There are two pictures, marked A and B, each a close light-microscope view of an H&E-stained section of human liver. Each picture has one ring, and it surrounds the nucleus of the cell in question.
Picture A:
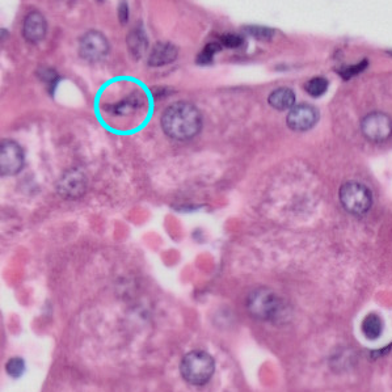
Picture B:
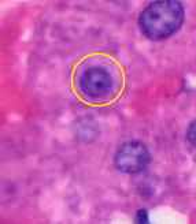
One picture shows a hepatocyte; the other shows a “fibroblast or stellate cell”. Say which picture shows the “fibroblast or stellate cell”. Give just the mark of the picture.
A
